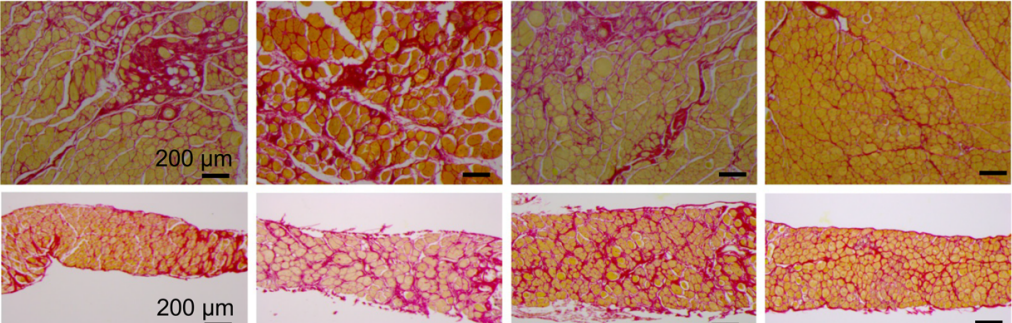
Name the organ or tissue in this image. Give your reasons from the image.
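Closely packed polygonal fibers cut in cross-section. The fibers stain yellow and are separated by thin red septa.
Answer: skeletal muscle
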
